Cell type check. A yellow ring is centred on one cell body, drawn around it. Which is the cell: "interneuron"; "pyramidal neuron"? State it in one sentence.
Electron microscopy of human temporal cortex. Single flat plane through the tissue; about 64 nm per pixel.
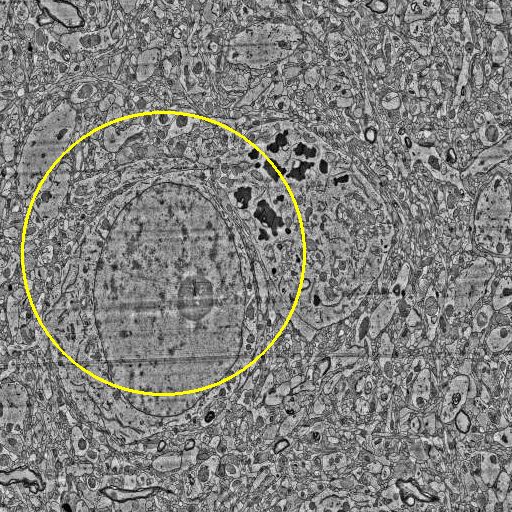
The cell body at the ring's centre belongs to a pyramidal neuron.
